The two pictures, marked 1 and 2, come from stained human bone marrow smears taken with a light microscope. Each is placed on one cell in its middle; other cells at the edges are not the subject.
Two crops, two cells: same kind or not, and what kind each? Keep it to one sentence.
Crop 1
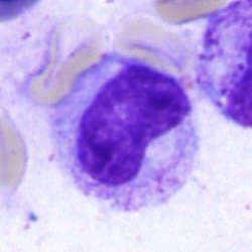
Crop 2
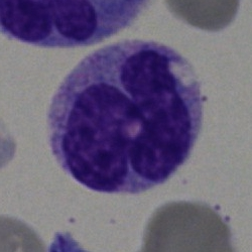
No, crop 1 captures a metamyelocyte, and crop 2 captures a monocyte.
